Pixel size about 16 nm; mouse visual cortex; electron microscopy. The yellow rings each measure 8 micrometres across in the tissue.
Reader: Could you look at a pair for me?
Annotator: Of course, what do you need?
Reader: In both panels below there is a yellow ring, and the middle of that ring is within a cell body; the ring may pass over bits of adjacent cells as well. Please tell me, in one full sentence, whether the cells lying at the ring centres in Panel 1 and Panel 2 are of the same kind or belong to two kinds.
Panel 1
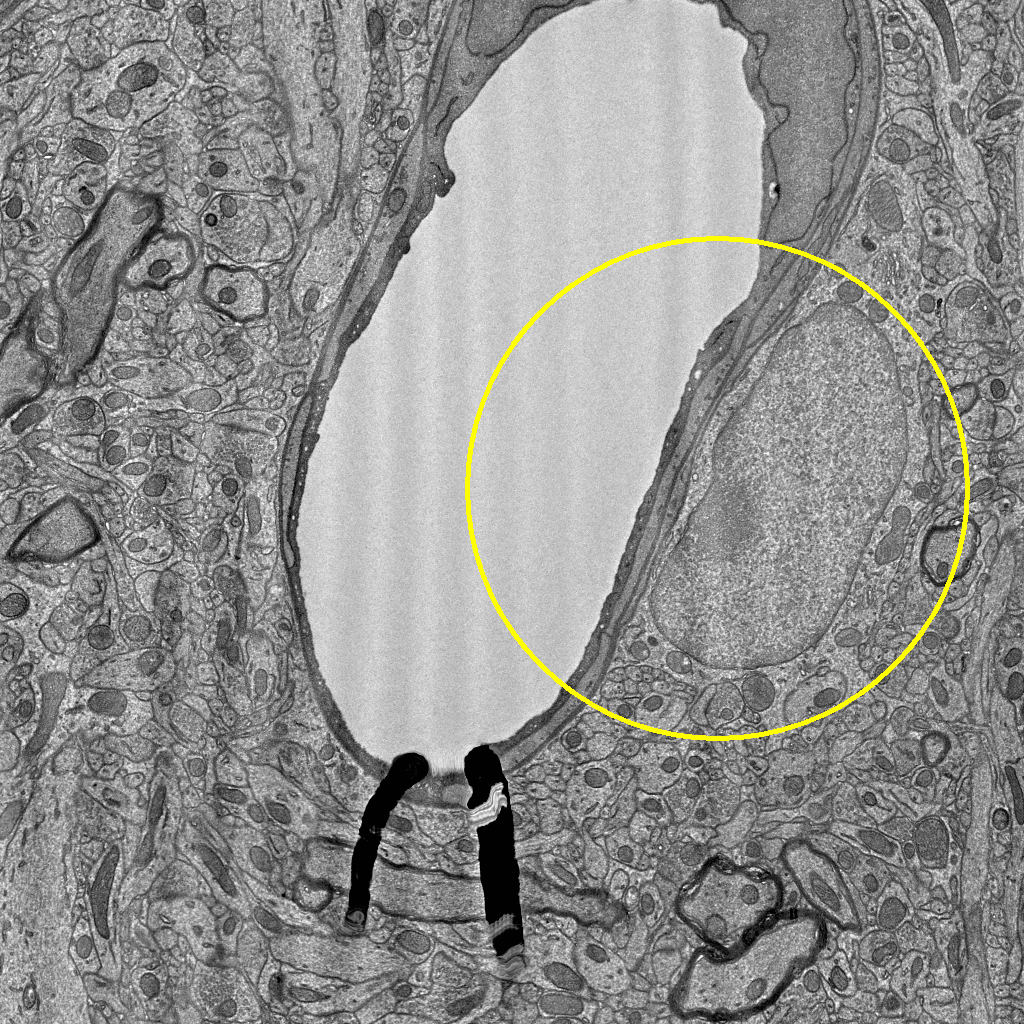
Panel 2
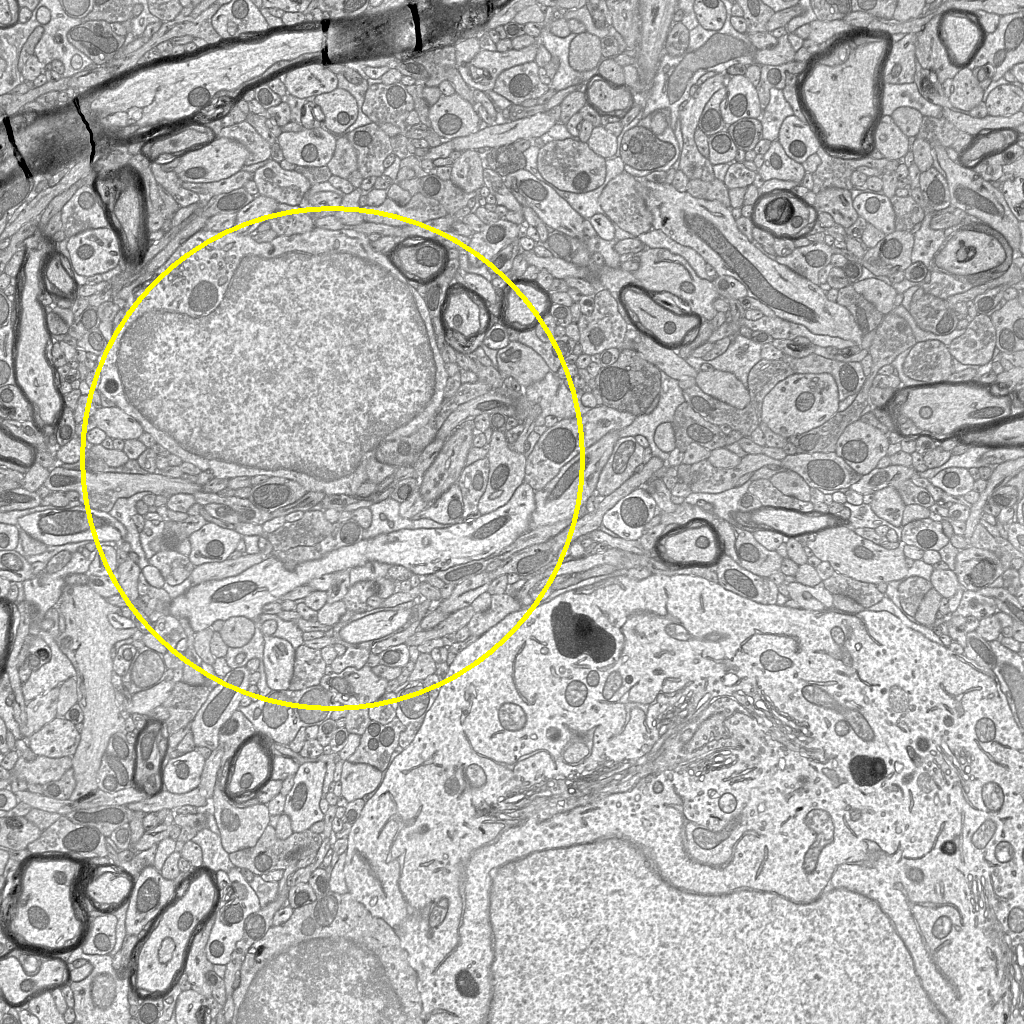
The cell at the ring's centre in Panel 1 and the one in Panel 2 belong to two kinds.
